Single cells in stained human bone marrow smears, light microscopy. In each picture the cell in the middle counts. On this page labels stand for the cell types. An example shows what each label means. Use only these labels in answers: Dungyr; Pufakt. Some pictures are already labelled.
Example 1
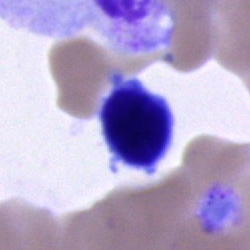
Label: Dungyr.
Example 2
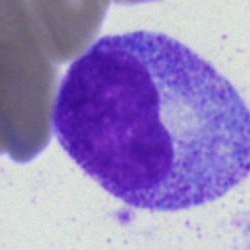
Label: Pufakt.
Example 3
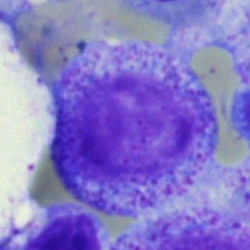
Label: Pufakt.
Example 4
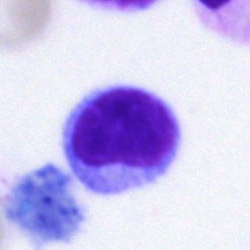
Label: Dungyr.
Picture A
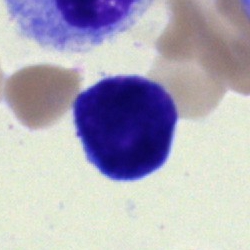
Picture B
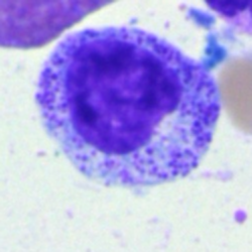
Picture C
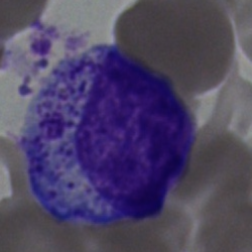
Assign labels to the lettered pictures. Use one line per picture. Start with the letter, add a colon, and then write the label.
A: Dungyr.
B: Pufakt.
C: Pufakt.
